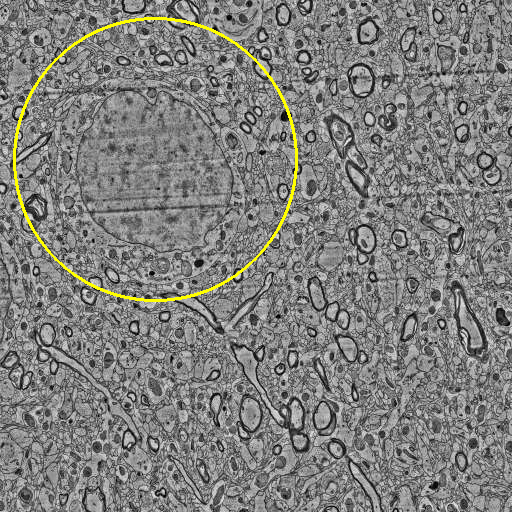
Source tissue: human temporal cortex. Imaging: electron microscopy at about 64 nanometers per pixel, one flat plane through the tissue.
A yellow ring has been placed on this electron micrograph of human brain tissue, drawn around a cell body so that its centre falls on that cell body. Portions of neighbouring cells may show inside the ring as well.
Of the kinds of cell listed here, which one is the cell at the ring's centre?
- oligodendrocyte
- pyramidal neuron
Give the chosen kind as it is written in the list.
pyramidal neuron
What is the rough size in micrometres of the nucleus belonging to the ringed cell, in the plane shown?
Approximately 11 x 9 micrometres in this plane.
